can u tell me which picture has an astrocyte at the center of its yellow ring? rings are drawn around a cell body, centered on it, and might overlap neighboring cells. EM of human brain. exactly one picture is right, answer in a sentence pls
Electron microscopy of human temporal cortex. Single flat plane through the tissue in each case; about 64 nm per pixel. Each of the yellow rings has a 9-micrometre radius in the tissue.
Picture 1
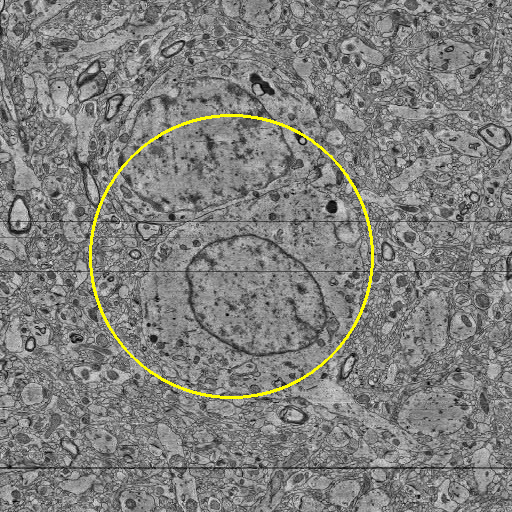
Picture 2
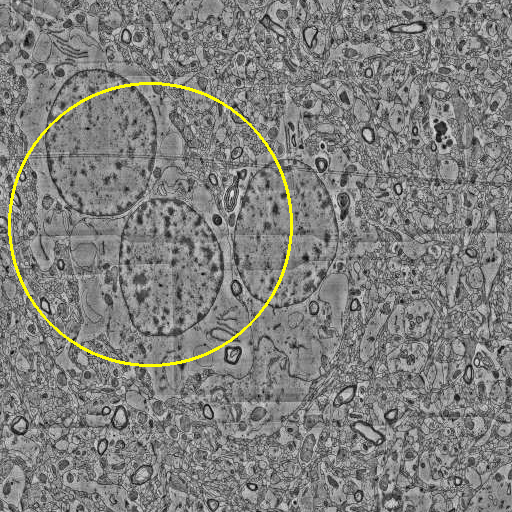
Picture 2 is the one.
